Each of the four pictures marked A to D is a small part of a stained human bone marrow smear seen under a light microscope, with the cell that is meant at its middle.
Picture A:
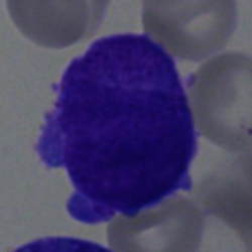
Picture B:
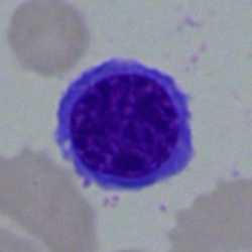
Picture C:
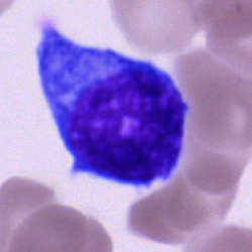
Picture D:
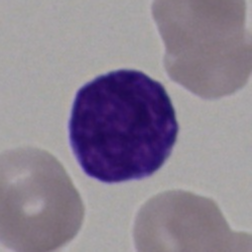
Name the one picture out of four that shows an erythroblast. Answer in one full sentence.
Picture B is the one that shows the erythroblast.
